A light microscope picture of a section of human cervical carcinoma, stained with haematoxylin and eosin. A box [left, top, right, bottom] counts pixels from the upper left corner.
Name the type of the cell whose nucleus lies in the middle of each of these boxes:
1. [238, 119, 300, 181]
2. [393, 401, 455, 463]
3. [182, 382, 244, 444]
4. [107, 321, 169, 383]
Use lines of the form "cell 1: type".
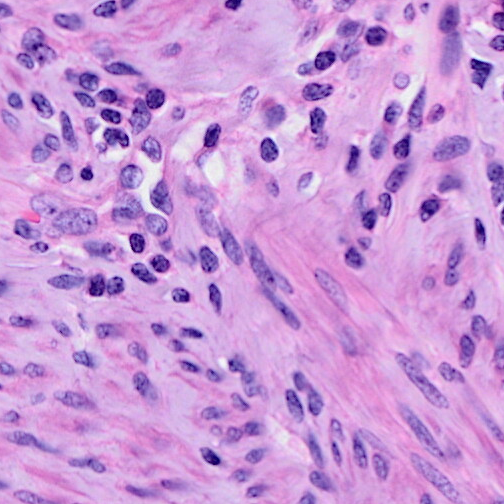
cell 1: lymphocyte
cell 2: smooth muscle cell
cell 3: smooth muscle cell
cell 4: smooth muscle cell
